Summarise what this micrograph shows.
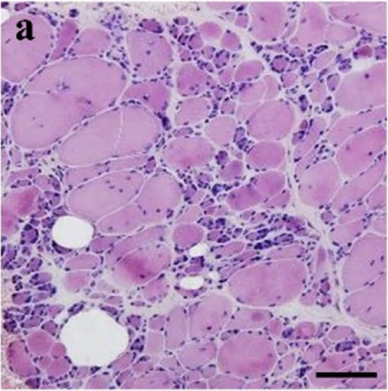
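Skeletal muscle in cross section, fibers pink and nuclei dark purple. Large polygonal fibers occupy much of the field, but between them lie clusters of small, angular atrophic fibers grouped together, typical of grouped atrophy. Within these clusters, nuclei are crowded into dense dark clumps. Fiber size varies markedly, and a few round clear spaces, likely fat cells, sit among the fibers. The connective tissue between fibers is somewhat increased around the atrophic groups.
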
